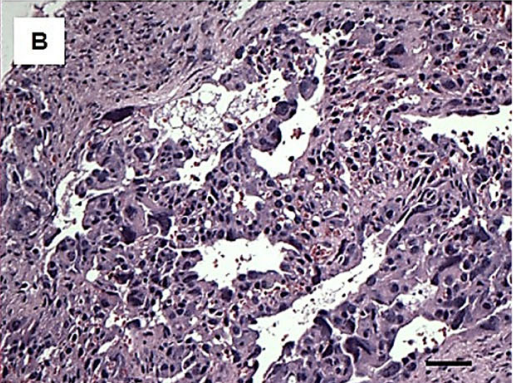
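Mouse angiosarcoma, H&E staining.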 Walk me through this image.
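Malignant tumour tissue of pleomorphic tumour cells with markedly variable, enlarged, dark-purple nuclei and pink cytoplasm. The cells crowd around and line irregular, slit-like and open spaces, some containing a few red blood cells.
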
